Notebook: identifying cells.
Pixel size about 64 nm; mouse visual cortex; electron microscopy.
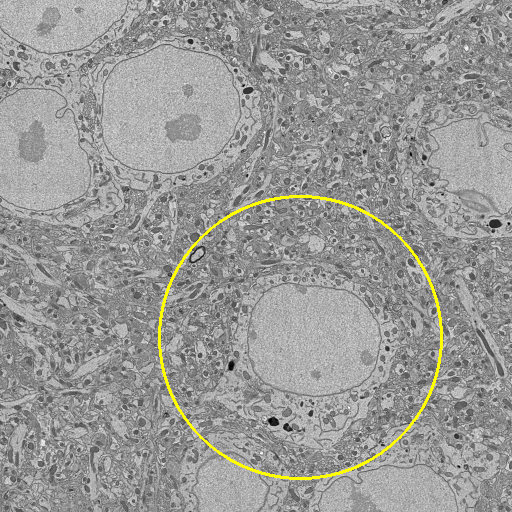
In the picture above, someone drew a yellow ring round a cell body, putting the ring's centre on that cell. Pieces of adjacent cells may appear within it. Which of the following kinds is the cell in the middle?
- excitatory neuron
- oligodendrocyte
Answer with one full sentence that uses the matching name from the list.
In this picture, the yellow ring is centred on the body of an excitatory neuron.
